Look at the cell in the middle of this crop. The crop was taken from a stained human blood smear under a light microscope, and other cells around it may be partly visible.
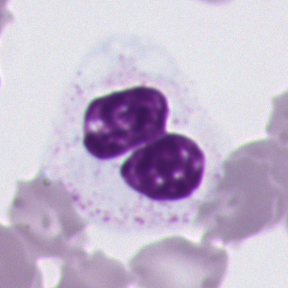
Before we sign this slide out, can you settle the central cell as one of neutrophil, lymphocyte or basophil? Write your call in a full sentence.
The cell marked by its central position in the crop is a neutrophil.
